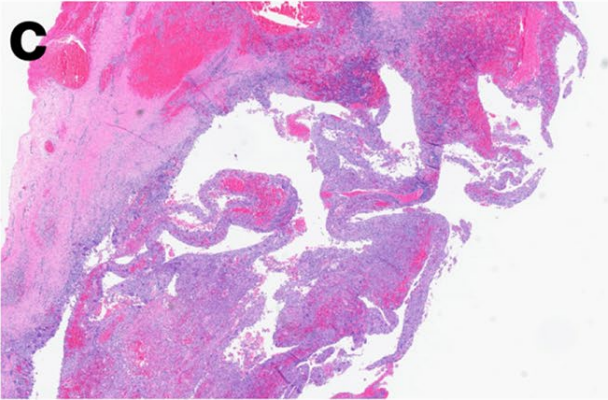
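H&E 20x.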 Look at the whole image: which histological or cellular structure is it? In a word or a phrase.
strips of cyst wall and blood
